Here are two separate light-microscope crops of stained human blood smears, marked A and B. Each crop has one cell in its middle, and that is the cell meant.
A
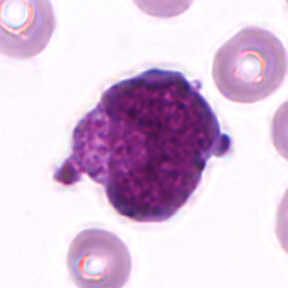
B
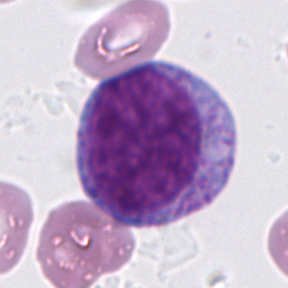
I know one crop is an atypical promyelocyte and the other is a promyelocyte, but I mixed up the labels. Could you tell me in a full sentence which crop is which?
Crop A and crop B are an atypical promyelocyte and a promyelocyte, in that order.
